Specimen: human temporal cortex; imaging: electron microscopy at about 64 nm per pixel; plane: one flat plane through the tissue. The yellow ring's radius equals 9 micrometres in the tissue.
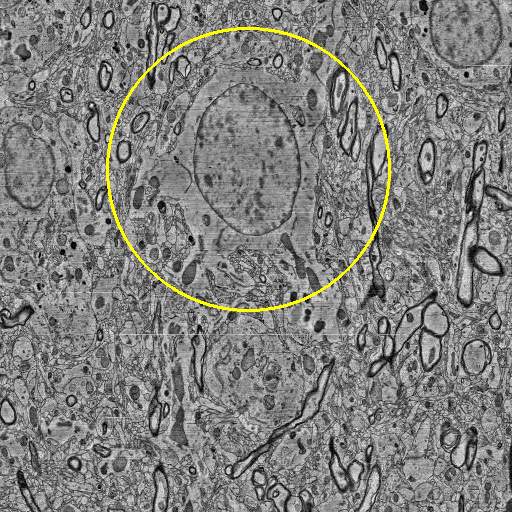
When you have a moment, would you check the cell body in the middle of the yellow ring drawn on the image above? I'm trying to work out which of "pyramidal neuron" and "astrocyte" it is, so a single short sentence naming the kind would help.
This cell body belongs to an astrocyte.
